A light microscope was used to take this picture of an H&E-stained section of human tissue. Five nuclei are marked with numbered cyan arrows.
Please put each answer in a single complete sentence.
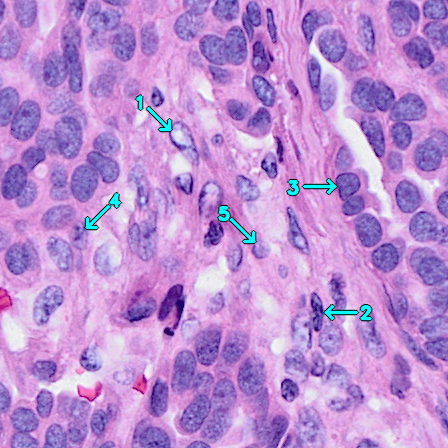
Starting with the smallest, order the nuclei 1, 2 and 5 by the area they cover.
From smallest to largest, the order is 5, 2, 1.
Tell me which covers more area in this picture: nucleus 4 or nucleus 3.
Number 3 is larger; its area is about 1.5 times that of number 4.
